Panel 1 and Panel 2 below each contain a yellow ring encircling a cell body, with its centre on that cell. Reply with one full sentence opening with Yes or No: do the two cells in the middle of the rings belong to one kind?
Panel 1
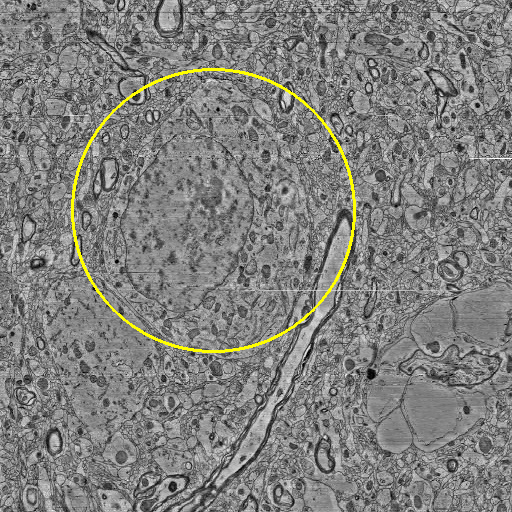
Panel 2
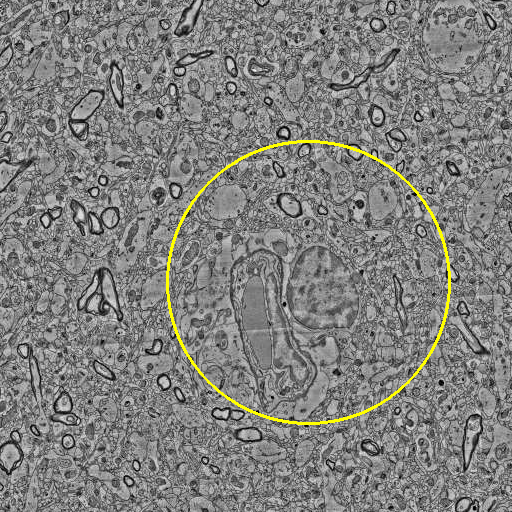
No, the cells at the middle of the Panel 1 ring and the Panel 2 ring are of two kinds.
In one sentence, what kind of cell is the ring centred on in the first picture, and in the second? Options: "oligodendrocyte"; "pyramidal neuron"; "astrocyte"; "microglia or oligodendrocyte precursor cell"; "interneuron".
The cell at the centre of the second ring is an oligodendrocyte; the first ring's cell is an interneuron.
